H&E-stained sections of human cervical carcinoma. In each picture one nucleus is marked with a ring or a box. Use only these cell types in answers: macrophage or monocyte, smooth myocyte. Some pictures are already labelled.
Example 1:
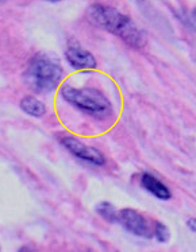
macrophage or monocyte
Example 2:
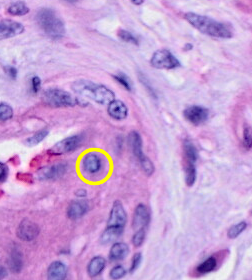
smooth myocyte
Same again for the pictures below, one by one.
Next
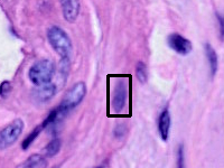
smooth myocyte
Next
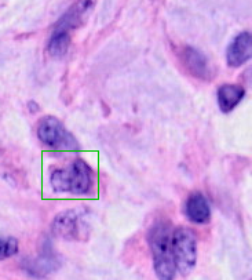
macrophage or monocyte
